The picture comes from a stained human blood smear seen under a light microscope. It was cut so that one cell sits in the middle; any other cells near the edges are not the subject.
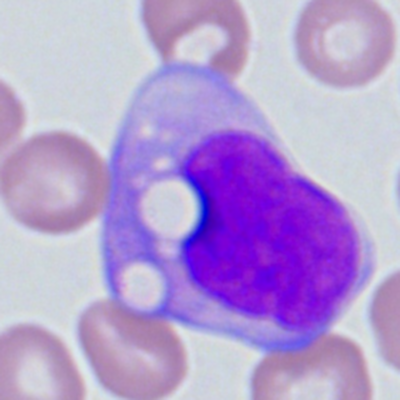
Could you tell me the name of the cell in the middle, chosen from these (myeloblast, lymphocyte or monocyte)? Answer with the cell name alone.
monocyte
